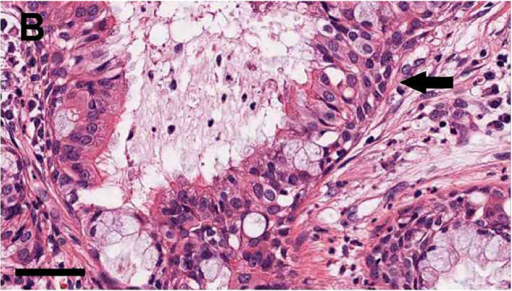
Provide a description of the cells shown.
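An epithelium lines spaces filled with pale, stringy mucus, and it is made of several kinds of cells. Many cells have large clear, bubbly cytoplasmic vacuoles, typical of goblet cells, while others are tall columnar cells with pink cytoplasm and oval nuclei. Along the base of the epithelium, next to the stroma, lie small flattened cells with dark nuclei, in keeping with basal cells. The stroma between the epithelial layers holds spindle-shaped cells with elongated nuclei. The nuclei are fairly uniform, without marked pleomorphism.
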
